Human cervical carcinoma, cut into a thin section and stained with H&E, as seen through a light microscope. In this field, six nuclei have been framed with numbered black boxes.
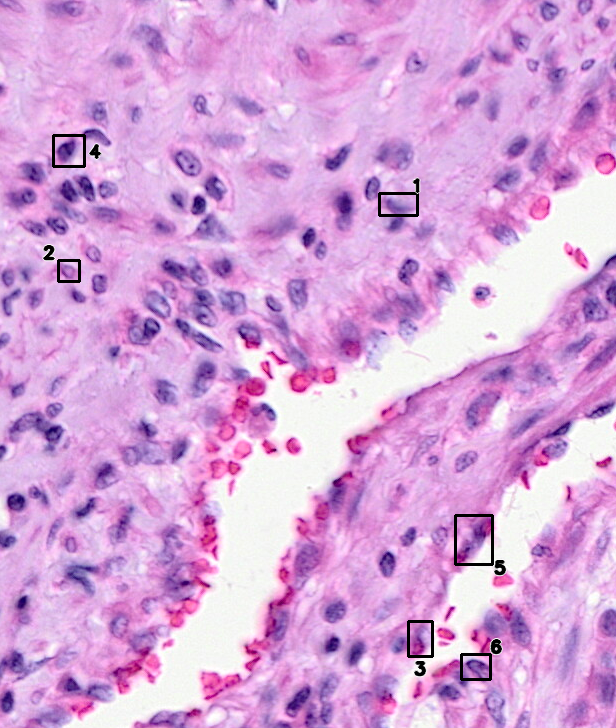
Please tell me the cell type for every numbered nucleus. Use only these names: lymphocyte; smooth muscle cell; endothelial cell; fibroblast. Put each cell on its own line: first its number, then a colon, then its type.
1: fibroblast
2: smooth muscle cell
3: endothelial cell
4: lymphocyte
5: endothelial cell
6: endothelial cell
